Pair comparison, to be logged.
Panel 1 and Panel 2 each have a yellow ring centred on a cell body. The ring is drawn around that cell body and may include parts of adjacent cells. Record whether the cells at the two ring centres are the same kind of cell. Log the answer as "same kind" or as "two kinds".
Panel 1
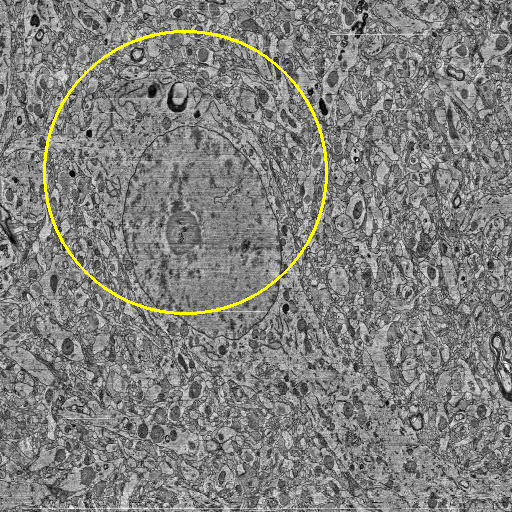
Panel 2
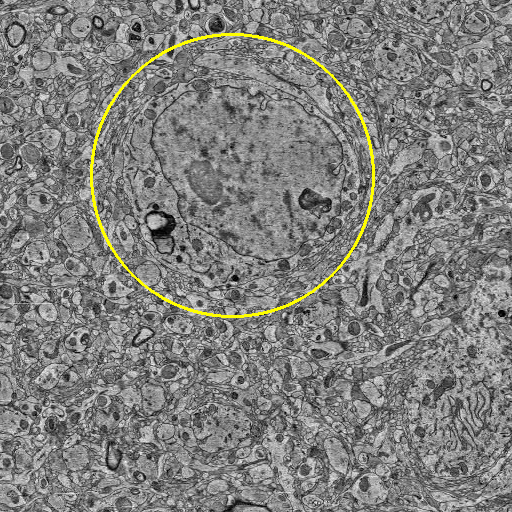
same kind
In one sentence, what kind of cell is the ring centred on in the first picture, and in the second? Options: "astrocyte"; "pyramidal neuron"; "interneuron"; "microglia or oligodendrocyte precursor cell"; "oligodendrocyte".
Each of the ringed cells, first and second, is a pyramidal neuron.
